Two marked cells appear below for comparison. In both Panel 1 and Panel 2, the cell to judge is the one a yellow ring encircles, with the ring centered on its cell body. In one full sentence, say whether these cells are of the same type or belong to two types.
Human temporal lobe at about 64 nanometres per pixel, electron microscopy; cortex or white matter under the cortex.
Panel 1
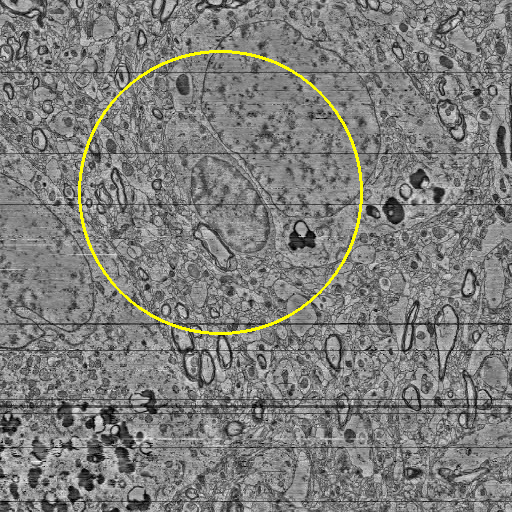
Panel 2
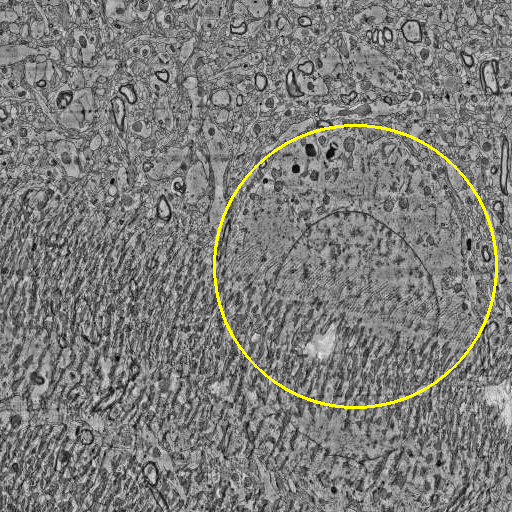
The cell centered in the Panel 1 ring and the one in Panel 2 belong to two types.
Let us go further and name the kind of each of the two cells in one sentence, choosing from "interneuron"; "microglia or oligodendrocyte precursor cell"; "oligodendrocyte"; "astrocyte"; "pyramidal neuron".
The ring of the first picture is on an oligodendrocyte, the ring of the second on a pyramidal neuron.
